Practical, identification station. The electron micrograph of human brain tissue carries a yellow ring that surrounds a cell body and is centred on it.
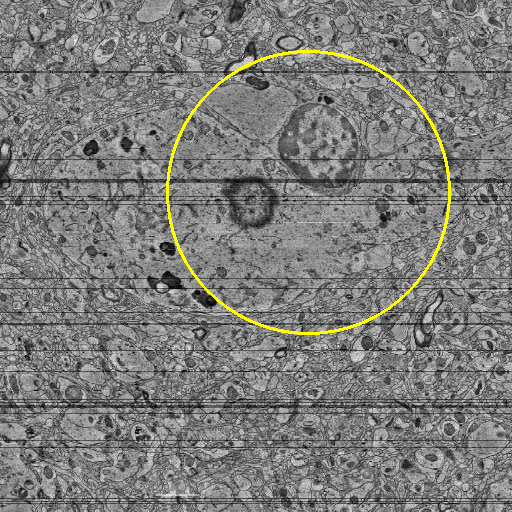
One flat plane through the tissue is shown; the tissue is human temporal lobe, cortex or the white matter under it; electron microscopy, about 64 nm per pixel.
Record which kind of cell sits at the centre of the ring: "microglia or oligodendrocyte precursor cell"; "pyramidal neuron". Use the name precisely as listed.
microglia or oligodendrocyte precursor cell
